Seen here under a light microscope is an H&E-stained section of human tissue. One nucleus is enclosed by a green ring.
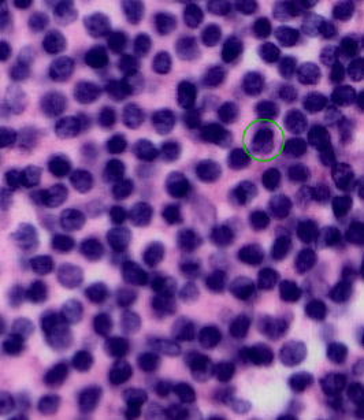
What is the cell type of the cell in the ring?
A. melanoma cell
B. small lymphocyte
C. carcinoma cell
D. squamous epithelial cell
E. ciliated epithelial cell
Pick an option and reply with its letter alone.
B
